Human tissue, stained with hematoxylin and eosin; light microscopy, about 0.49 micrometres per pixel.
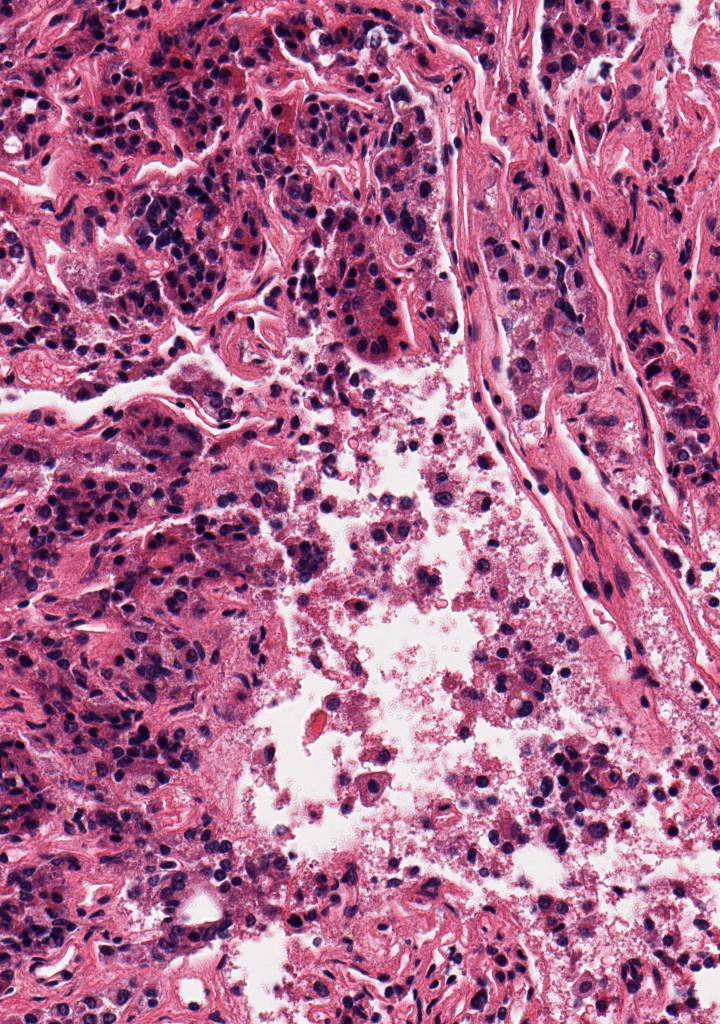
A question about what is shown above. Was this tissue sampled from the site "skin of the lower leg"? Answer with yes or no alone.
no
